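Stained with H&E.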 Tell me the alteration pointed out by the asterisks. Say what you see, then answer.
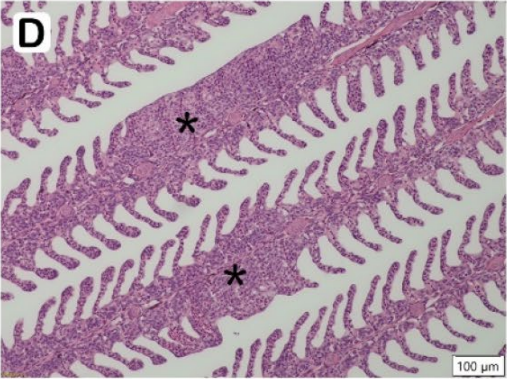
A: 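At the asterisks the filaments are broad solid bands of cells. Lamellae there are not separated by clear spaces but merged into the tissue. On this evidence: hyperplasia and lamellar fusion.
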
